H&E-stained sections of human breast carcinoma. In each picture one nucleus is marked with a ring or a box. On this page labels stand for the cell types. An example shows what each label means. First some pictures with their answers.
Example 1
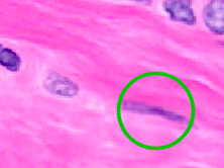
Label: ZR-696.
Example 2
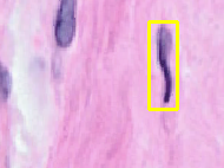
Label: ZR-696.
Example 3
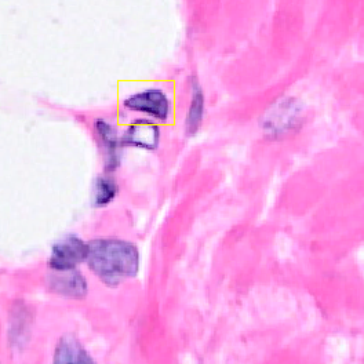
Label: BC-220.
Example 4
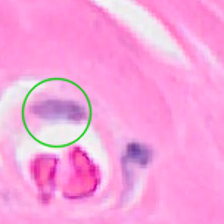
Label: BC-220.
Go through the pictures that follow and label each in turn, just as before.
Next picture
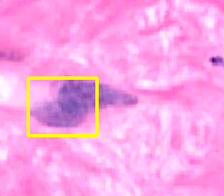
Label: BC-220.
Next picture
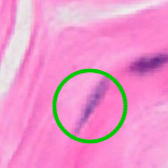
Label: ZR-696.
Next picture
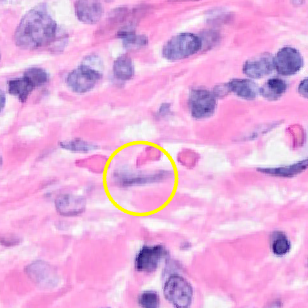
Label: BC-220.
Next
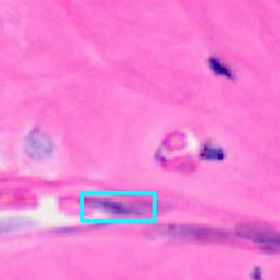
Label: BC-220.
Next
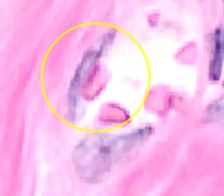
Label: BC-220.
